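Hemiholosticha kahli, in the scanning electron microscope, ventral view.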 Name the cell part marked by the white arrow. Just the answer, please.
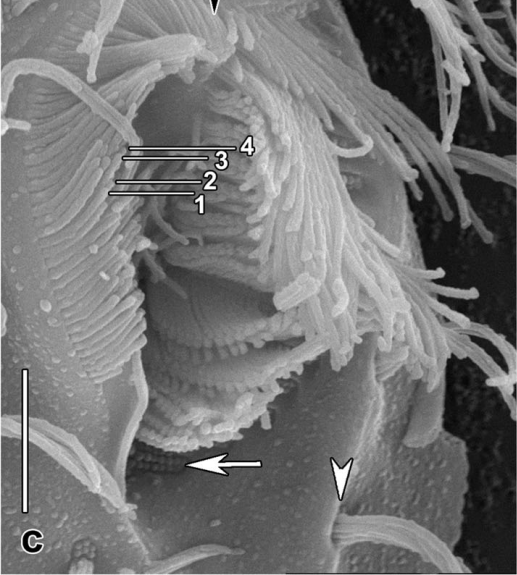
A: Unciliated basal bodies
